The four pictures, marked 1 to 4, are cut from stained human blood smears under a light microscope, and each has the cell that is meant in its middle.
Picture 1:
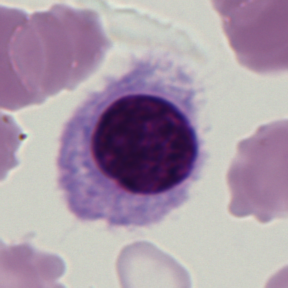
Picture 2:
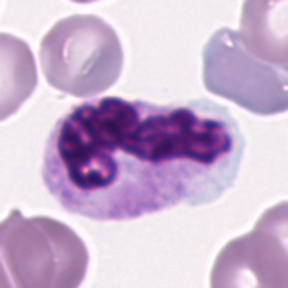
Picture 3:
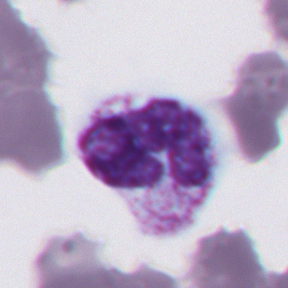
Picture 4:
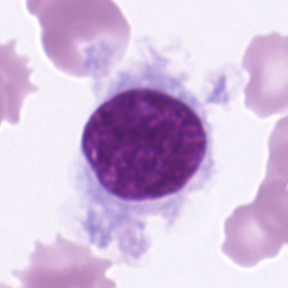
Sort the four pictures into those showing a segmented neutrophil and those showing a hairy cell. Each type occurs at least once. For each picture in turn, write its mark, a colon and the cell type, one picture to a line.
1: hairy cell
2: segmented neutrophil
3: segmented neutrophil
4: hairy cell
